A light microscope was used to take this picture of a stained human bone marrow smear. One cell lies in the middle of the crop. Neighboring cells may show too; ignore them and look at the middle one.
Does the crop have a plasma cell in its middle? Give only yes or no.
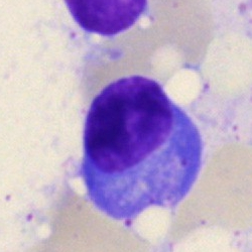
yes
